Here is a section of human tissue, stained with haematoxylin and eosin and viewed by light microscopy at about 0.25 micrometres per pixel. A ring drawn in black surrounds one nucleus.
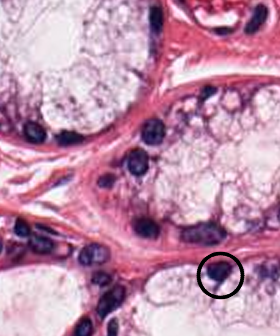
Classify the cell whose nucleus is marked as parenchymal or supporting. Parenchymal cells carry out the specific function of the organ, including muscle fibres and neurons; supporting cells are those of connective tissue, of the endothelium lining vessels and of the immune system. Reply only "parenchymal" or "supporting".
parenchymal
